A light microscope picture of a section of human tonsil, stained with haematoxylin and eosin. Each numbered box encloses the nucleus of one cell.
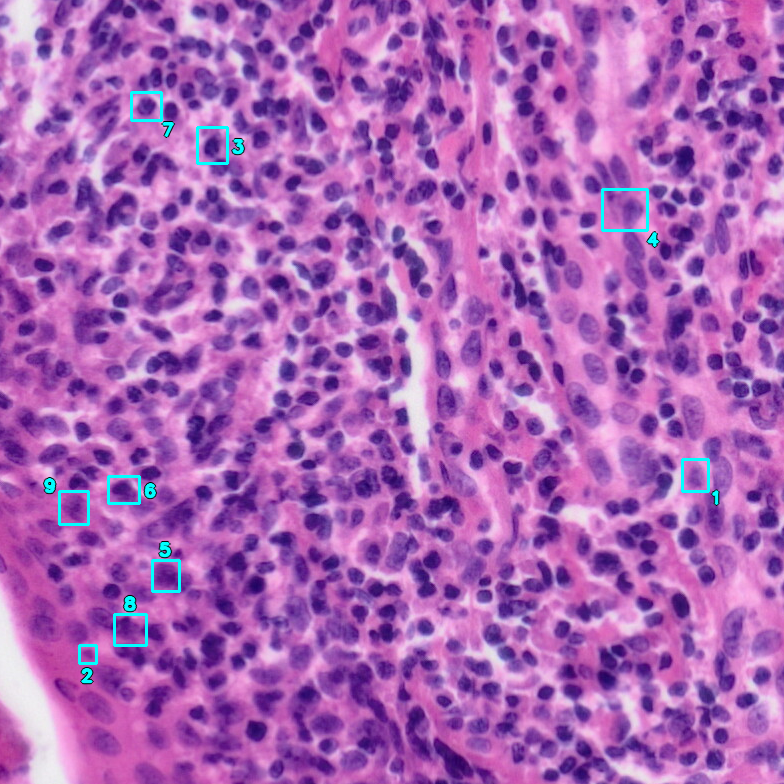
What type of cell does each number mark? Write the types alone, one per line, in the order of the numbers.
endothelial cell
squamous epithelial cell
plasma cell
endothelial cell
squamous epithelial cell
squamous epithelial cell
plasma cell
squamous epithelial cell
squamous epithelial cell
